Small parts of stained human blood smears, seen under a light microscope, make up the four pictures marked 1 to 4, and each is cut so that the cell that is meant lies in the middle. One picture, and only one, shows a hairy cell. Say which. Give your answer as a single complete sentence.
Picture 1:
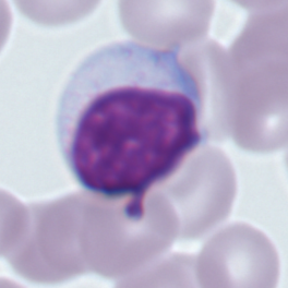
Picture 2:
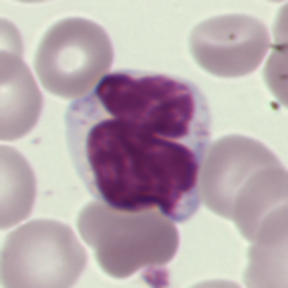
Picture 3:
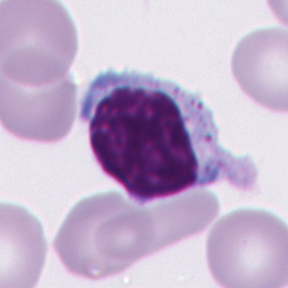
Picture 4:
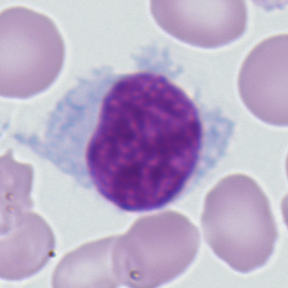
It is picture 4 that shows the hairy cell.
